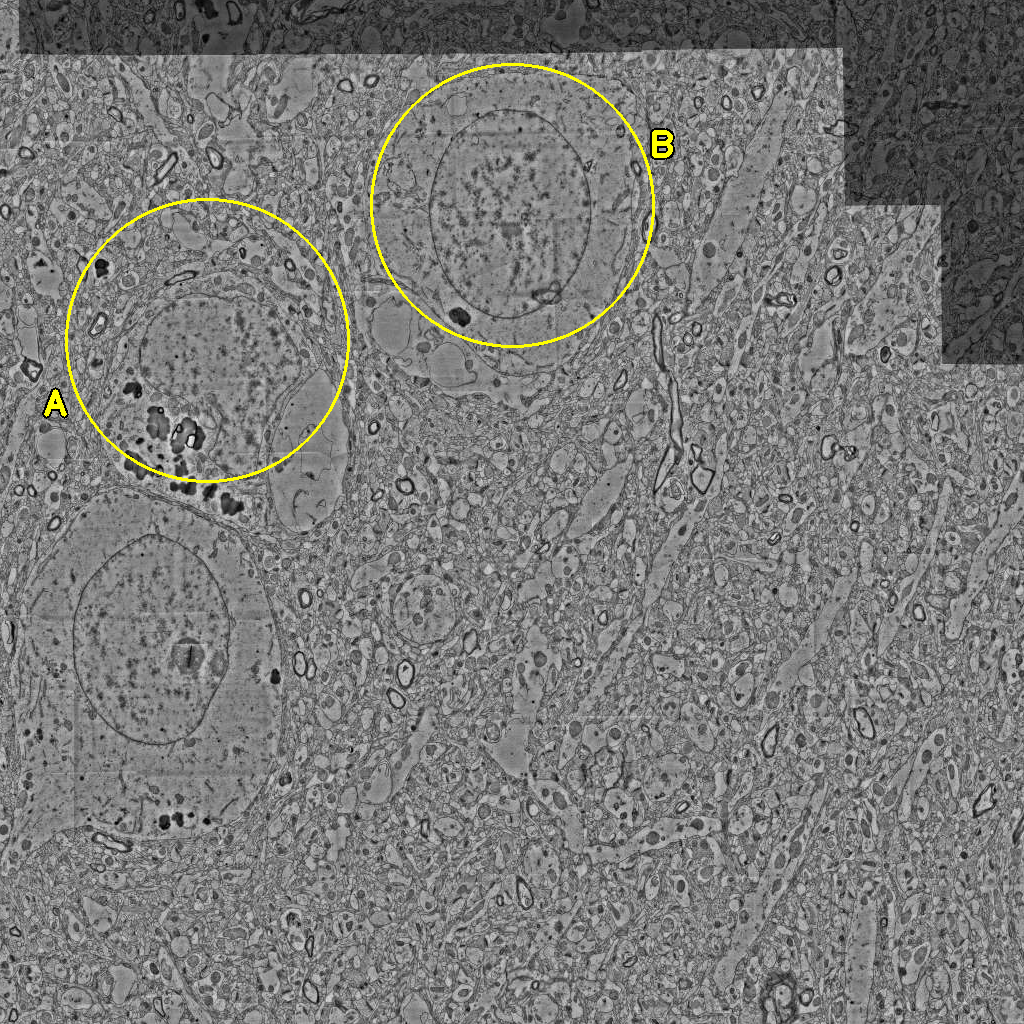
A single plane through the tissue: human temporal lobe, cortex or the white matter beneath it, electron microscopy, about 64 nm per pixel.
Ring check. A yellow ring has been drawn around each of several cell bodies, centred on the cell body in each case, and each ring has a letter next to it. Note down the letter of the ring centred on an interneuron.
A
